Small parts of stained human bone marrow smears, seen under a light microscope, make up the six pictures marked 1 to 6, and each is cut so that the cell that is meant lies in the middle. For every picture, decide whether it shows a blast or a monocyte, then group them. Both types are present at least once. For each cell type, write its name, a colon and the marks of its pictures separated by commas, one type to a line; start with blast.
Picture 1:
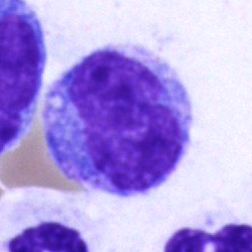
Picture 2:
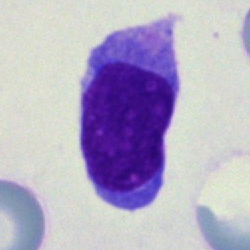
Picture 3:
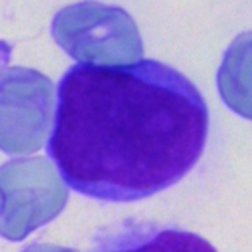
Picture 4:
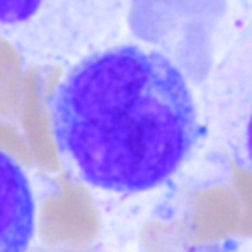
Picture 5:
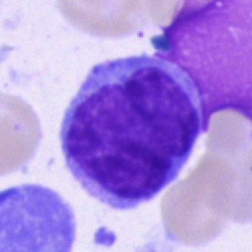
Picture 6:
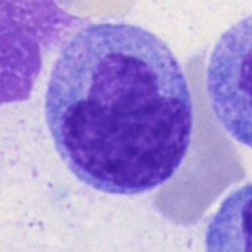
blast: 2, 3
monocyte: 1, 4, 5, 6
